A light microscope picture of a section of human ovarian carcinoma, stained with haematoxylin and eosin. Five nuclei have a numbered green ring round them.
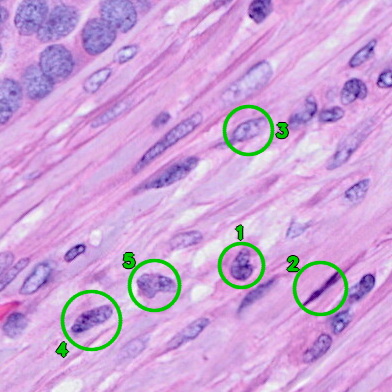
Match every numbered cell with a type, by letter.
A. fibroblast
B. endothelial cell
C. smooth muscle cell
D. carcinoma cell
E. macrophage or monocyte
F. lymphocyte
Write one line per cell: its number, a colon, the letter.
1: E
2: A
3: A
4: E
5: E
